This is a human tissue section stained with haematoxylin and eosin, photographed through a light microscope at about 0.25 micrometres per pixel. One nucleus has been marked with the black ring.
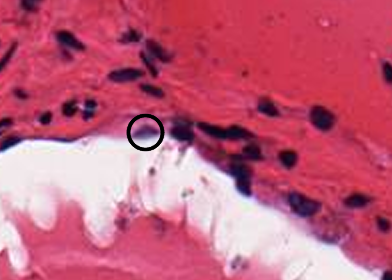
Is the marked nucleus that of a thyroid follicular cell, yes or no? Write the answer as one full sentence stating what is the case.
Yes, the nucleus bearing the mark is that of a thyroid follicular cell.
